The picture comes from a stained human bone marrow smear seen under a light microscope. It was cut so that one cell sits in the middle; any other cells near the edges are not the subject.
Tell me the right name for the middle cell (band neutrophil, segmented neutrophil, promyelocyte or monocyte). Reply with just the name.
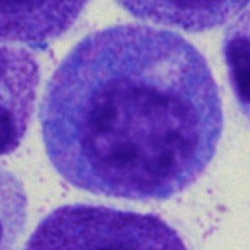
promyelocyte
